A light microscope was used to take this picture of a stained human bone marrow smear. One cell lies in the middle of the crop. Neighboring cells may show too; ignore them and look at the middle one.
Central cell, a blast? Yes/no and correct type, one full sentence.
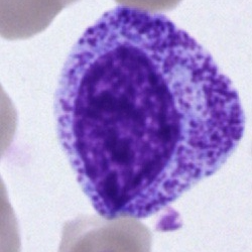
No, the central cell is properly termed a myelocyte, not a blast.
